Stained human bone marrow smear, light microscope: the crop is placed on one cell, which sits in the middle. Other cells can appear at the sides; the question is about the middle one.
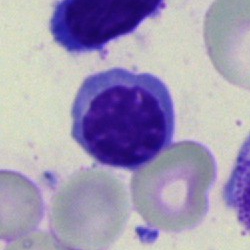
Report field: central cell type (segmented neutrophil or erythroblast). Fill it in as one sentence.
The cell at the middle of the frame should be recorded as an erythroblast.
